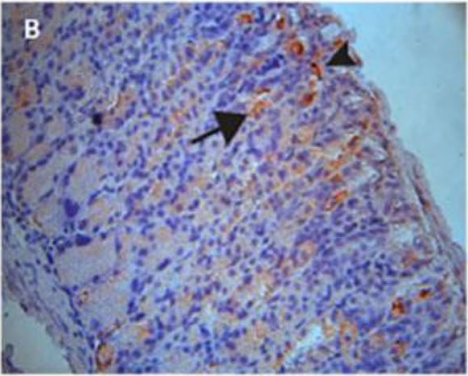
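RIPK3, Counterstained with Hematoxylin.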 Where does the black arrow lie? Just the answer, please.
Isthmus and neck regions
